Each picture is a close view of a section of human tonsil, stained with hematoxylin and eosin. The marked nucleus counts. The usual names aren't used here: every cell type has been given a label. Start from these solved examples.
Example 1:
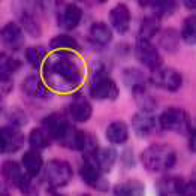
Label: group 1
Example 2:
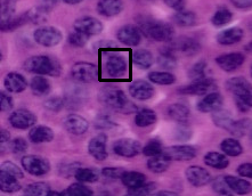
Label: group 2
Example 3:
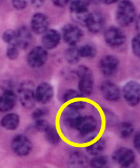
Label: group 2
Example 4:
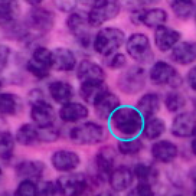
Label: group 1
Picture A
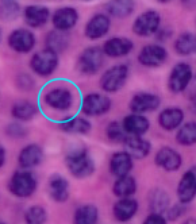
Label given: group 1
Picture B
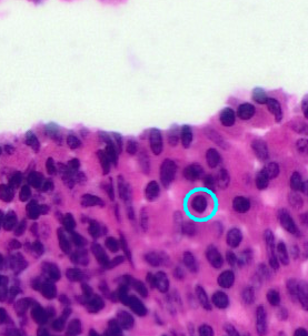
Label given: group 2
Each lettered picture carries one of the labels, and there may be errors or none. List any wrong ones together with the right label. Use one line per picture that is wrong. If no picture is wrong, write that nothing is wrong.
A is labelled group 1; correct label: group 2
